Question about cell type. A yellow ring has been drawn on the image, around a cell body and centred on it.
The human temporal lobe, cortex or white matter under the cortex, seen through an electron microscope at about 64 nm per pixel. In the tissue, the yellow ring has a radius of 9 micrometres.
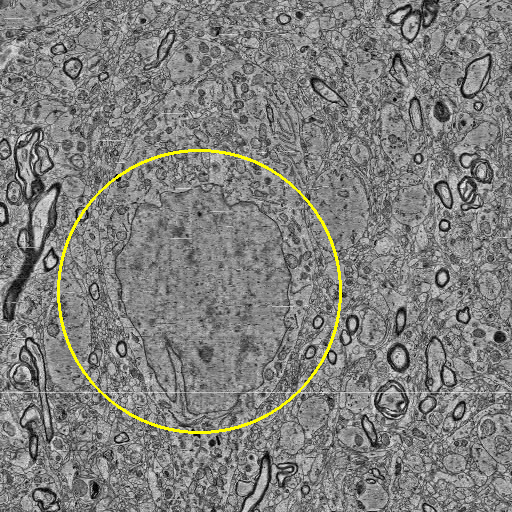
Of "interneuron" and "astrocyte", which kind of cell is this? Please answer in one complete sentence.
At the centre of the ring lies an interneuron.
